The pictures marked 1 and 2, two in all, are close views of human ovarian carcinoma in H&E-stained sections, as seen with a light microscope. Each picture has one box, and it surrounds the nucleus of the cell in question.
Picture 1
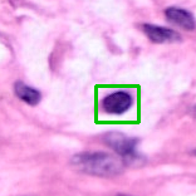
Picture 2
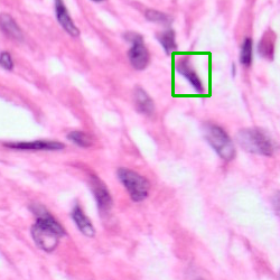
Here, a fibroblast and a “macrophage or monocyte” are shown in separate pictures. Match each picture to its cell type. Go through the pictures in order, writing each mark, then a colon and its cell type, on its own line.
1: macrophage or monocyte
2: fibroblast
